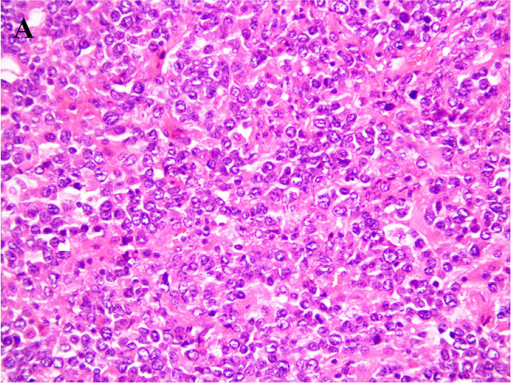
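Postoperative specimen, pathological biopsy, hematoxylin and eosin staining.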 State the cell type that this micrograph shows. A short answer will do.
Diffuse neoplastic lymphoid cells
